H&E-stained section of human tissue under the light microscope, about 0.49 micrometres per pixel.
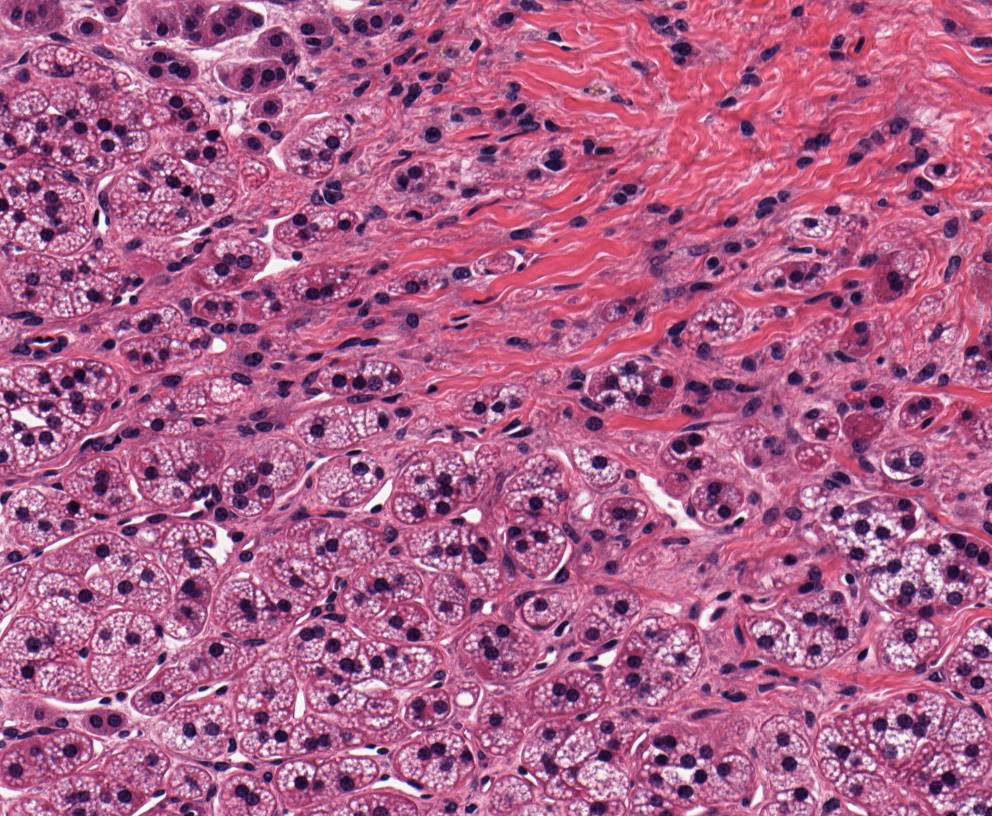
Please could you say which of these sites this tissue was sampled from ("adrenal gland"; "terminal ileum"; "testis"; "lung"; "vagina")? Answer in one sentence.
The site this tissue was sampled from is the adrenal gland.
